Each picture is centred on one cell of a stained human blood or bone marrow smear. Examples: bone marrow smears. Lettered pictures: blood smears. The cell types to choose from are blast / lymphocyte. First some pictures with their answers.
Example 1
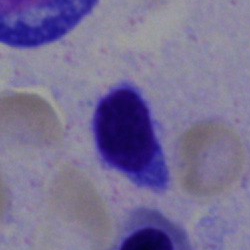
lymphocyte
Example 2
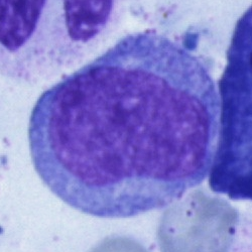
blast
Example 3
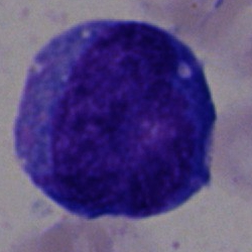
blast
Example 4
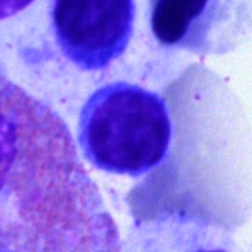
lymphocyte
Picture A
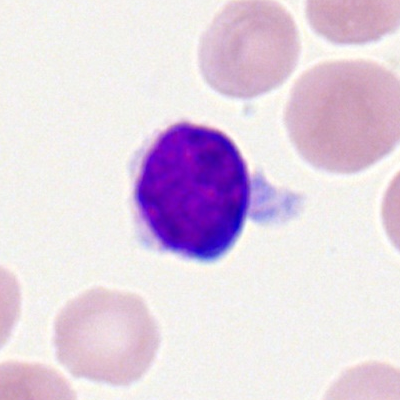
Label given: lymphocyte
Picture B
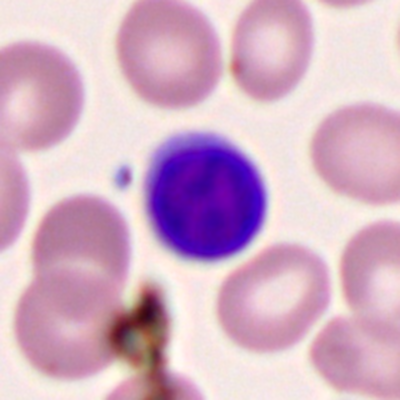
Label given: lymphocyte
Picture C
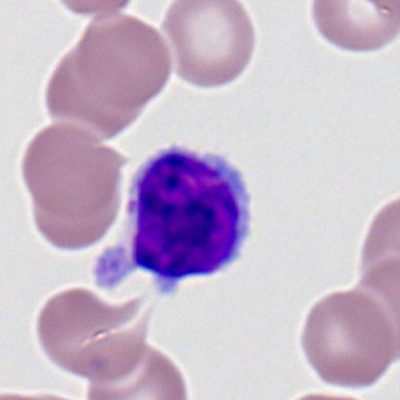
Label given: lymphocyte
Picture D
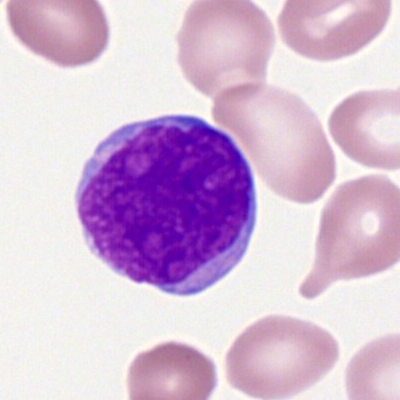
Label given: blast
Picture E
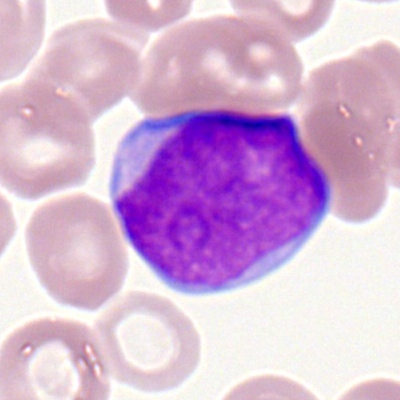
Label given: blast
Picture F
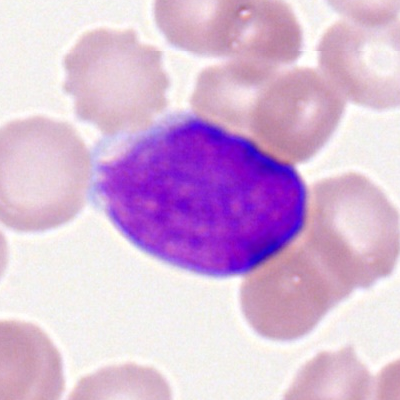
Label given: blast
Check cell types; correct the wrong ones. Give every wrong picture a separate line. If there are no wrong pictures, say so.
All labels are correct.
